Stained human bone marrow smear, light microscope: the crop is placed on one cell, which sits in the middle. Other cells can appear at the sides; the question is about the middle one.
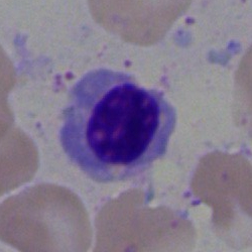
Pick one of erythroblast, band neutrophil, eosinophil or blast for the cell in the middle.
erythroblast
